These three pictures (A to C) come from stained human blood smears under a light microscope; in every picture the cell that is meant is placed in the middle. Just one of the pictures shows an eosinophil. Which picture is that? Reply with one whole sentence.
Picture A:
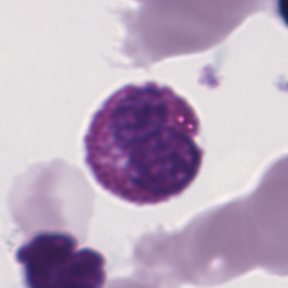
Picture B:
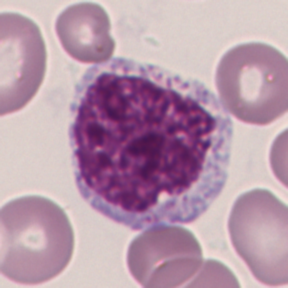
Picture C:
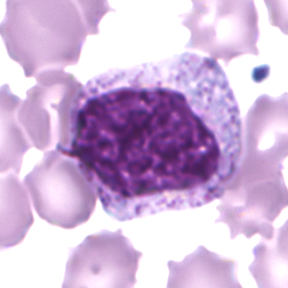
Picture A shows the eosinophil.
